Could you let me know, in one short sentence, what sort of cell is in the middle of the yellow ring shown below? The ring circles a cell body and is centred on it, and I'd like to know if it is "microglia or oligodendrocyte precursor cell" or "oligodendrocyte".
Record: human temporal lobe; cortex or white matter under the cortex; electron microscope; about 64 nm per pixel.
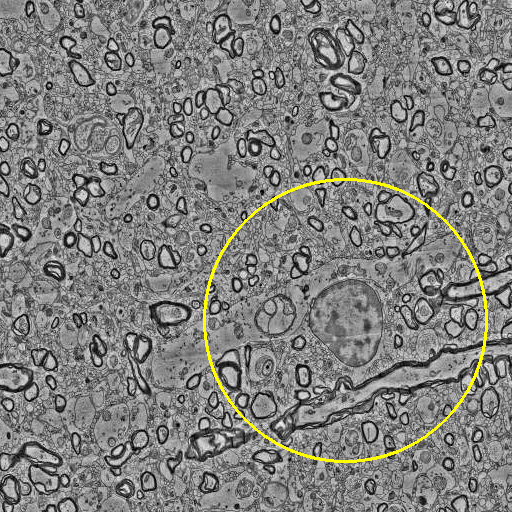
The ring circles the cell body of a microglial cell or oligodendrocyte precursor cell.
